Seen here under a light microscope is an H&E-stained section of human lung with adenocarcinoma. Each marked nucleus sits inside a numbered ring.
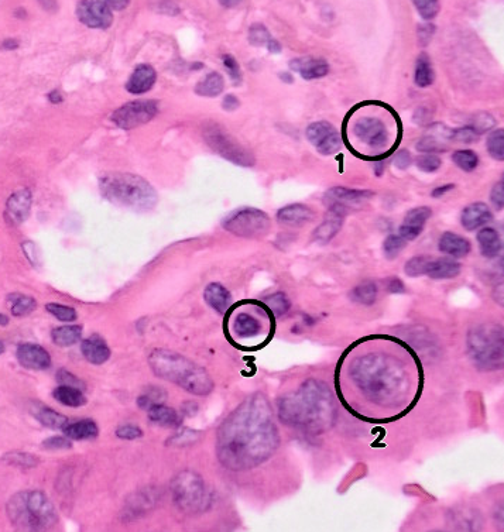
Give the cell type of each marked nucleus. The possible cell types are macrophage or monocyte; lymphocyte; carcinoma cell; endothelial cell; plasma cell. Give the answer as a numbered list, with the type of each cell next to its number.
1. lymphocyte
2. carcinoma cell
3. lymphocyte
